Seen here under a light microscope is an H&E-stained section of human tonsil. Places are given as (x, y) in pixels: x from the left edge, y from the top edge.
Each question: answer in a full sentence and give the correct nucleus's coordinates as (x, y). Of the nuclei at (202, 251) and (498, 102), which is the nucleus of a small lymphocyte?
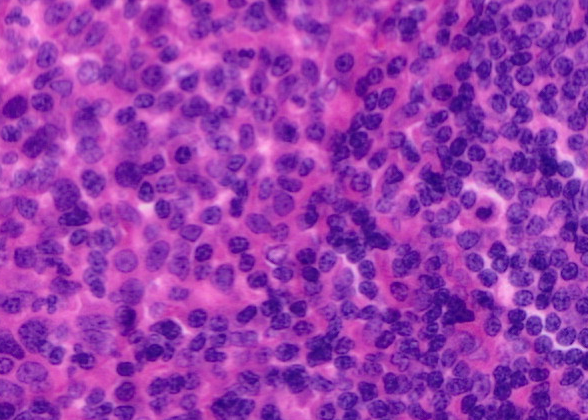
Among the two nuclei, the one found at (498, 102) belongs to a small lymphocyte.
